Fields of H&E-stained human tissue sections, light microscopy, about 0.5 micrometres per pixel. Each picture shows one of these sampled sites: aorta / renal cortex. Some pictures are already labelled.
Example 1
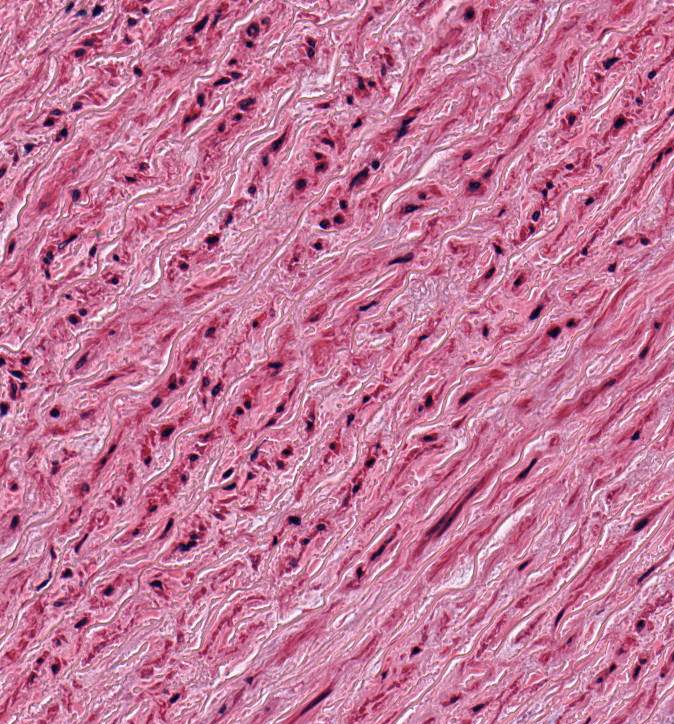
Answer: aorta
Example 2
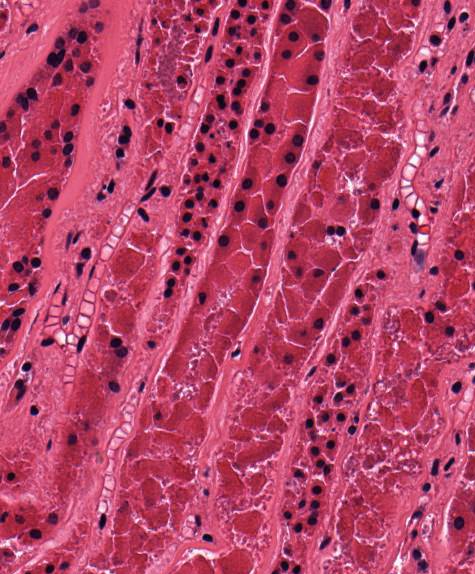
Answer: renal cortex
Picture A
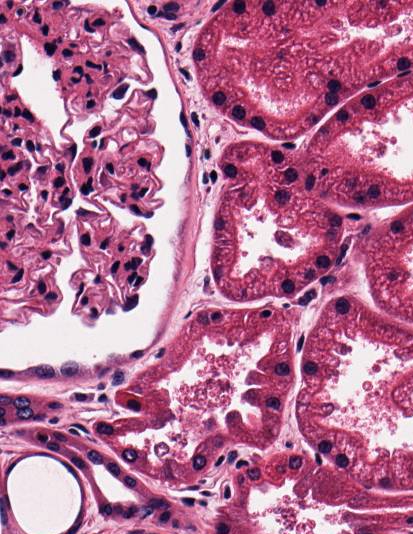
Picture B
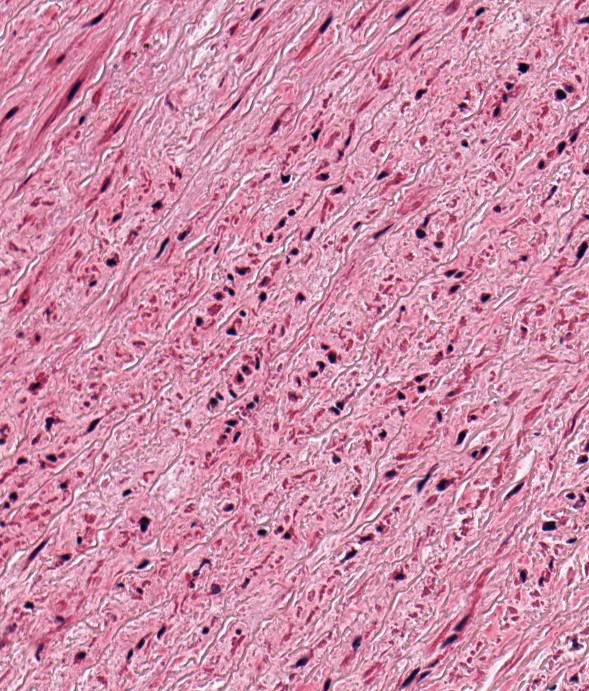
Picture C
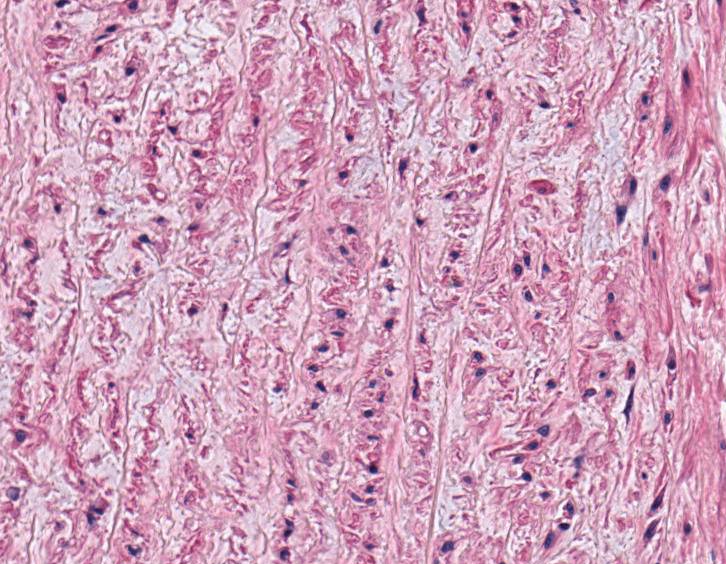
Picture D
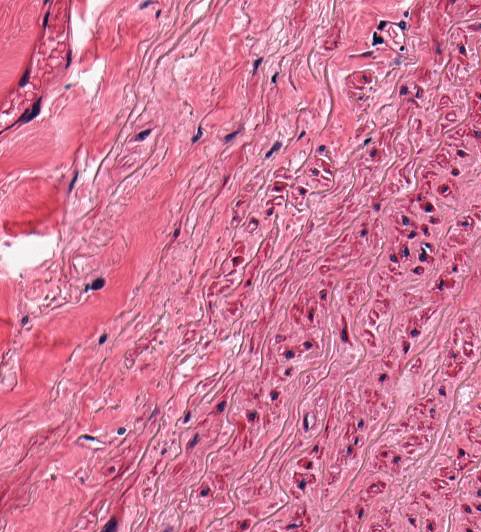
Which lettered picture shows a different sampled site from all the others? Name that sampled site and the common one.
A differs and shows renal cortex; the others show aorta.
